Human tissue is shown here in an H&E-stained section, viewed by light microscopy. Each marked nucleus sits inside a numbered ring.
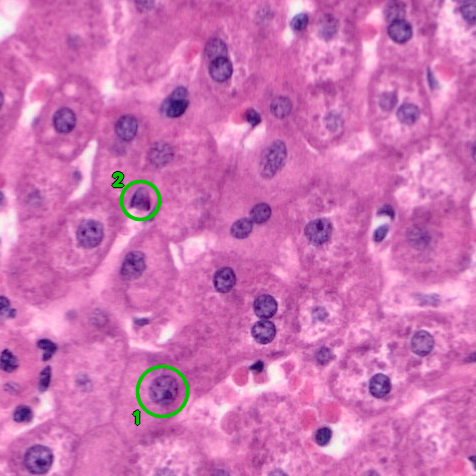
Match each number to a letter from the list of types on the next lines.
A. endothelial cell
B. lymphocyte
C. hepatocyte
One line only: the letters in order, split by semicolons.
C; A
